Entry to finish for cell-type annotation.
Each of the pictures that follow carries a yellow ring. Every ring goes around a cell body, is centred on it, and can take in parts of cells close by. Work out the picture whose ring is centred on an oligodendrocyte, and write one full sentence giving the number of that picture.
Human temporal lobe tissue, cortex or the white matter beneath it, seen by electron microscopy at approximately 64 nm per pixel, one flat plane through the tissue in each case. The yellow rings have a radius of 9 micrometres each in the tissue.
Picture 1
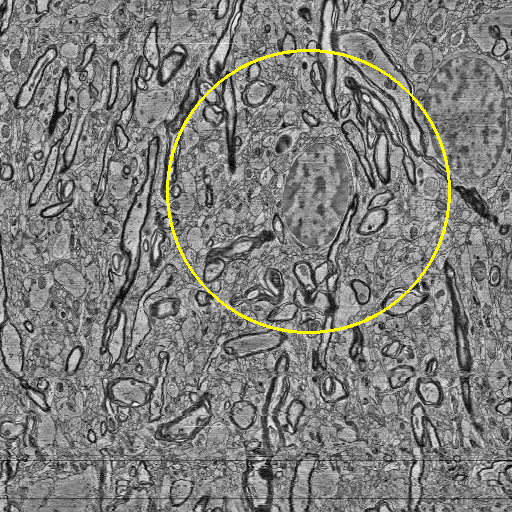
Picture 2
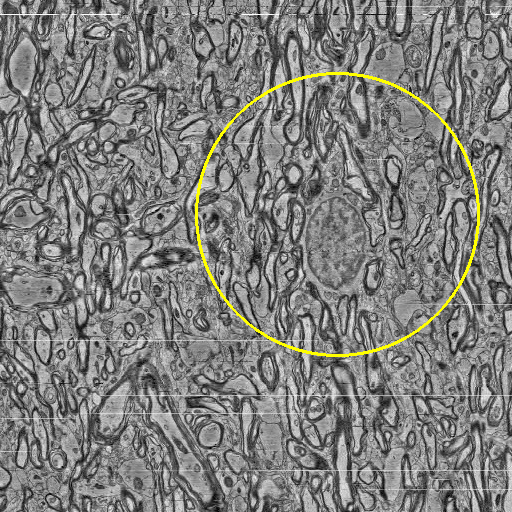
The cell at the heart of the ring in picture 2 matches the request.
